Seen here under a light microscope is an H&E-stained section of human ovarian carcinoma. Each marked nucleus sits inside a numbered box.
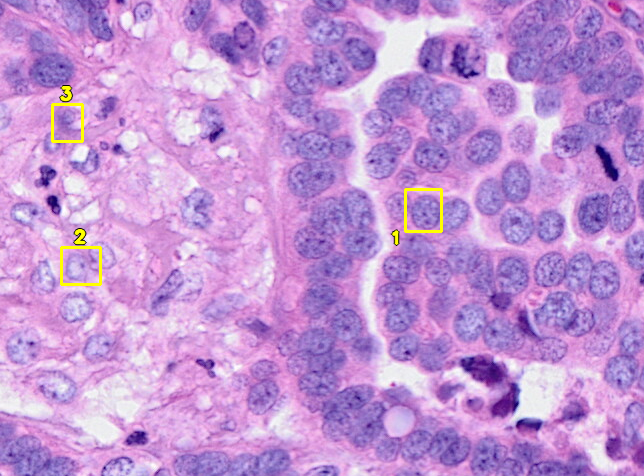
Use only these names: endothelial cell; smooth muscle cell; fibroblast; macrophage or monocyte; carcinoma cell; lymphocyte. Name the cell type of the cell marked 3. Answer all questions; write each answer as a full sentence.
The cell that goes by number 3 is a fibroblast.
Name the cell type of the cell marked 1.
The cell that is numbered 1 is a carcinoma cell.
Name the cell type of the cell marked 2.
Among the marked cells, number 2 is a fibroblast.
